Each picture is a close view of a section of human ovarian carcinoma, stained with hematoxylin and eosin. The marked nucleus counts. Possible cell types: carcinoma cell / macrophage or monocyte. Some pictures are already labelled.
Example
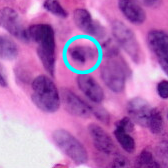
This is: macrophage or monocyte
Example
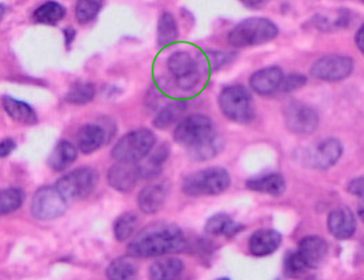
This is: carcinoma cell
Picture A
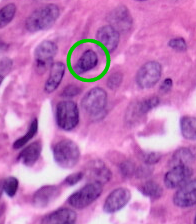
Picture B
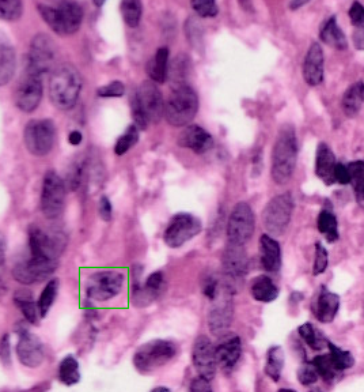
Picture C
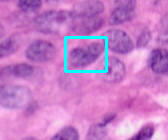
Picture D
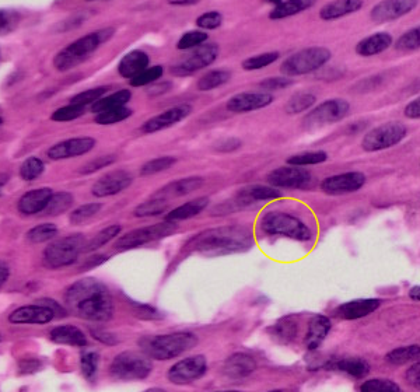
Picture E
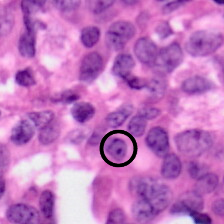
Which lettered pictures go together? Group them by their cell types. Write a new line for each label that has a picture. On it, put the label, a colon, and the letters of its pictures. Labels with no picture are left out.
macrophage or monocyte: A, B, C, D, E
